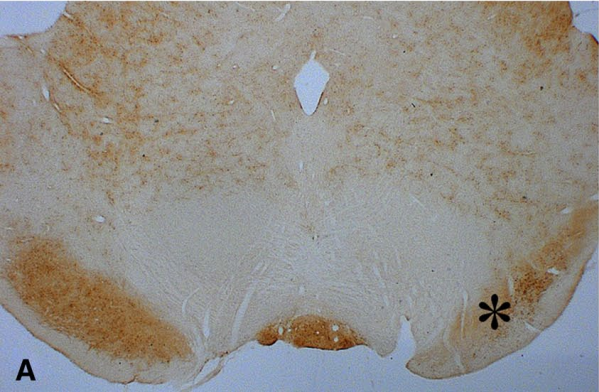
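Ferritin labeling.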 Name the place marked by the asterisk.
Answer: Substantia nigra reticulata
